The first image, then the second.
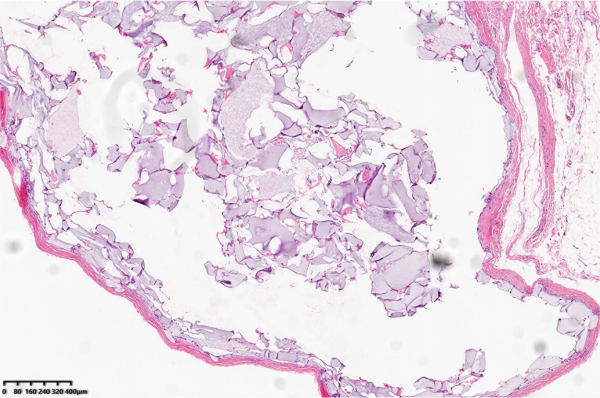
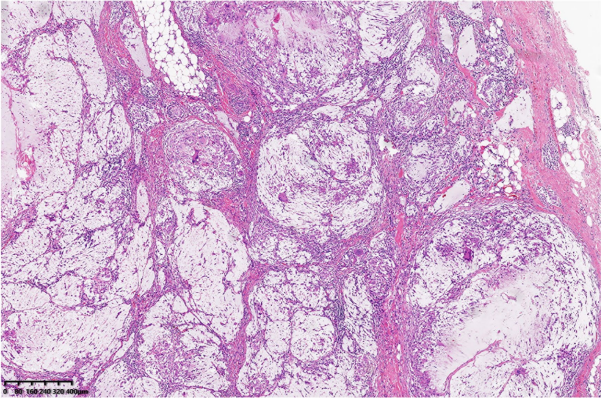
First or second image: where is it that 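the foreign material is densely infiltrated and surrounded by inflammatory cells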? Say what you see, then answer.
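Second image: pale lobules of material are packed with purple cell infiltrates and separated by cellular fibrous septa. First image: the glassy fragments lie in a nearly acellular cavity lined by a thin pink band.
Conclusion: the second image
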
